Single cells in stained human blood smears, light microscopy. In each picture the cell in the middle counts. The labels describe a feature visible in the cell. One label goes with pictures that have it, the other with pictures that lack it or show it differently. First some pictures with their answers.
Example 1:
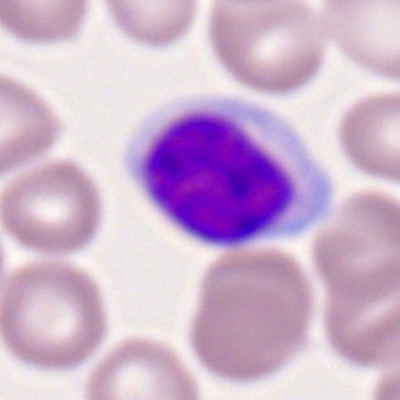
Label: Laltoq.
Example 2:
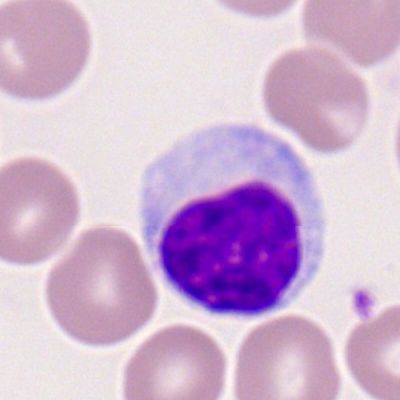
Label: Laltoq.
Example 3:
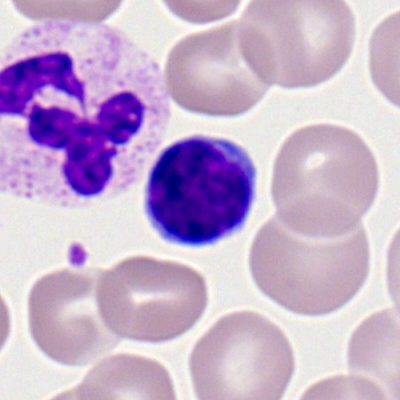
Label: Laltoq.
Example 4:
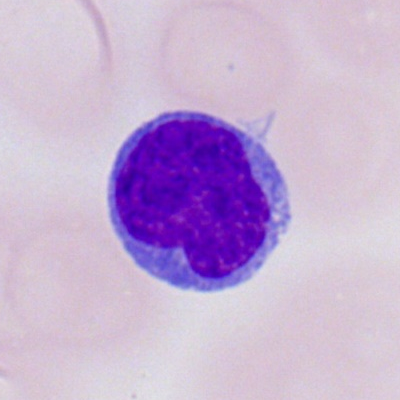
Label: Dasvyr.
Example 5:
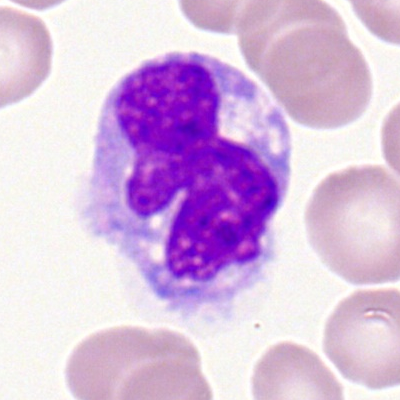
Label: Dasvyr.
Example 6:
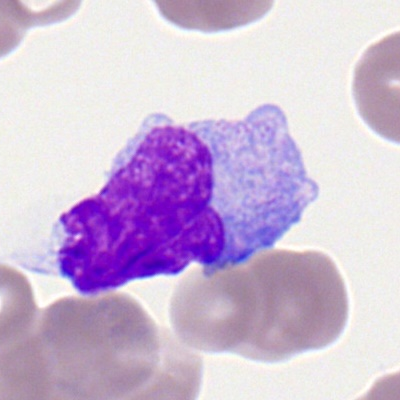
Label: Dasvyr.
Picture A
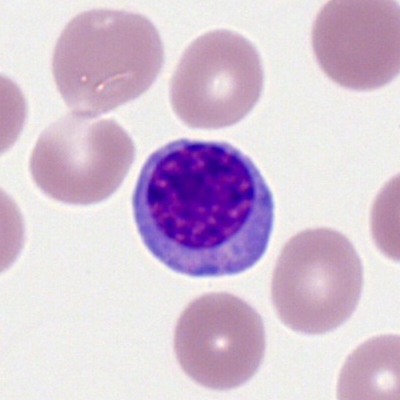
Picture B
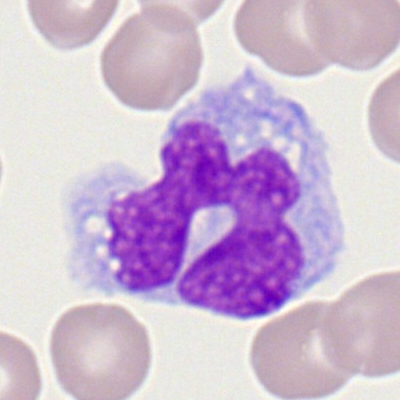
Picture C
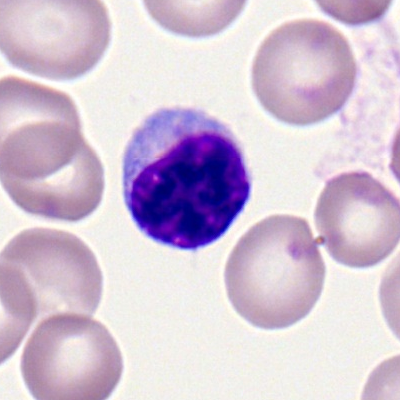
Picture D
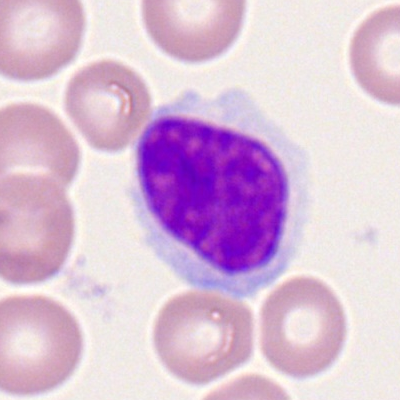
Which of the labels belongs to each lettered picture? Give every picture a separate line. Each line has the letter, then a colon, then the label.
A: Laltoq.
B: Dasvyr.
C: Laltoq.
D: Dasvyr.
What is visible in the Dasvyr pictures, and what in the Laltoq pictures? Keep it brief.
Seen in Dasvyr: ragged outline or projections; seen in Laltoq: smooth outline.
